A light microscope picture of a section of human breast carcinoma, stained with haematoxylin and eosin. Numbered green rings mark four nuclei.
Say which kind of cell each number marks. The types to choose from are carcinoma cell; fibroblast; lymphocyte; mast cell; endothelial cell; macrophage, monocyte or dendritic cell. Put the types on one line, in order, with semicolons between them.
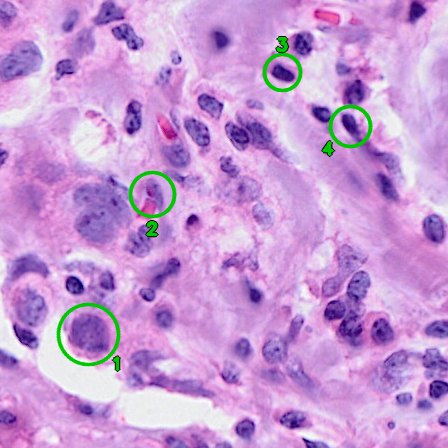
carcinoma cell; endothelial cell; lymphocyte; lymphocyte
